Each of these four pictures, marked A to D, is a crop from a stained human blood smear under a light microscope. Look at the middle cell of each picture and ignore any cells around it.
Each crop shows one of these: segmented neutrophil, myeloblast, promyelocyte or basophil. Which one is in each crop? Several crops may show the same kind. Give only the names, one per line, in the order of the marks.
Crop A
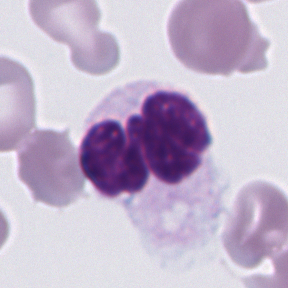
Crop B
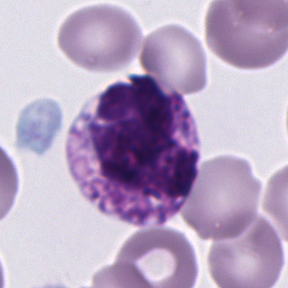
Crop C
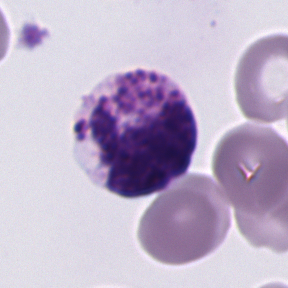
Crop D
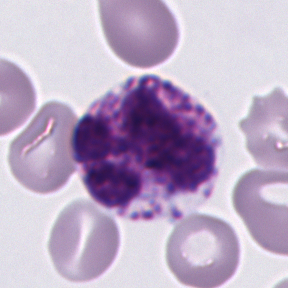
segmented neutrophil
basophil
basophil
basophil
